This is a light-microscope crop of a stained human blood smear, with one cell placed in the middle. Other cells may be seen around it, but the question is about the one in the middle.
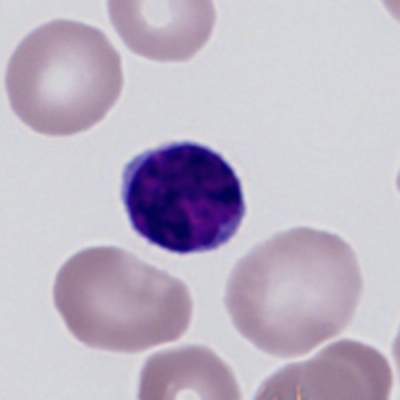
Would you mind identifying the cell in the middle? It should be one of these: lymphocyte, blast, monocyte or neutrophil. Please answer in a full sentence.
The centrally placed cell is classified as a lymphocyte.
